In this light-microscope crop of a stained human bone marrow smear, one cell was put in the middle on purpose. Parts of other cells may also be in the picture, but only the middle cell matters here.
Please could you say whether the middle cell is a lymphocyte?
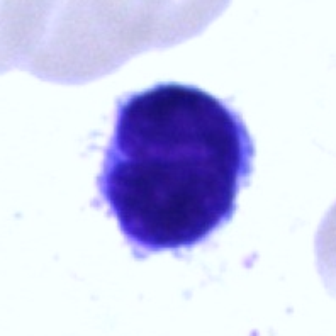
yes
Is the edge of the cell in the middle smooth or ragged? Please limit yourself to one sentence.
The cell membrane follows an uneven contour, either ragged or bearing projections.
